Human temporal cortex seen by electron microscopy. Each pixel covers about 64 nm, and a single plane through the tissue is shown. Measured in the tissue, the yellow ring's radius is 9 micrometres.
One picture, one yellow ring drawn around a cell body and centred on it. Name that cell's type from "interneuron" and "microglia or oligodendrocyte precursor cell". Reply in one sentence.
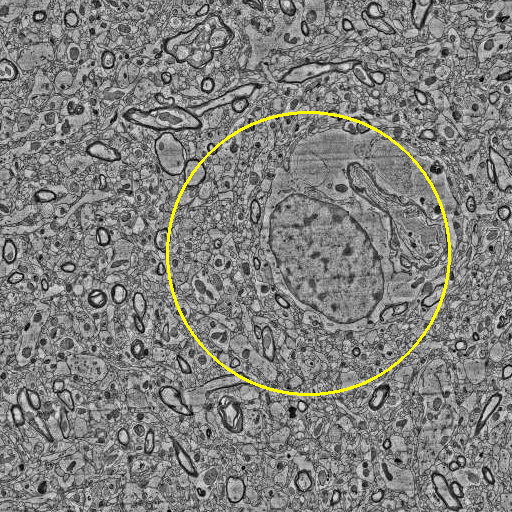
Centred in the ring is a microglial cell or oligodendrocyte precursor cell.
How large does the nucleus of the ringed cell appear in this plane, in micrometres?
In this plane the nucleus is roughly 9 by 6 micrometres, clearly longer than it is wide.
